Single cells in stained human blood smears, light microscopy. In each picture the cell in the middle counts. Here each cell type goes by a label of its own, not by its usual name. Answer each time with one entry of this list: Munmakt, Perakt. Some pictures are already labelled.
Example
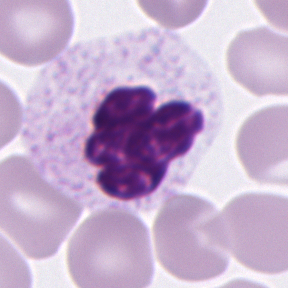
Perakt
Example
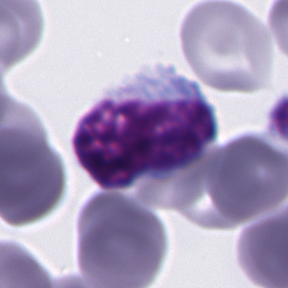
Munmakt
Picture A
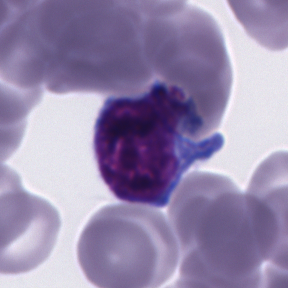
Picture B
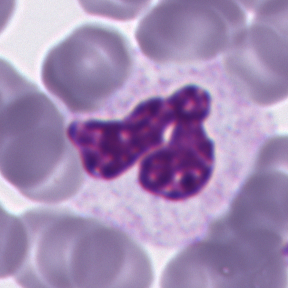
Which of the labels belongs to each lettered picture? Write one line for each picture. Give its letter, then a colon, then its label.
A: Munmakt
B: Perakt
